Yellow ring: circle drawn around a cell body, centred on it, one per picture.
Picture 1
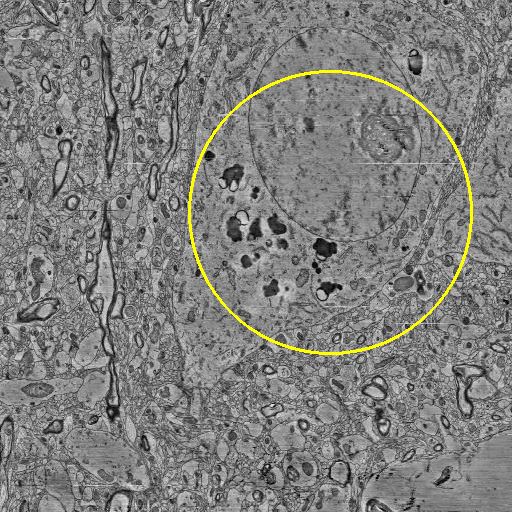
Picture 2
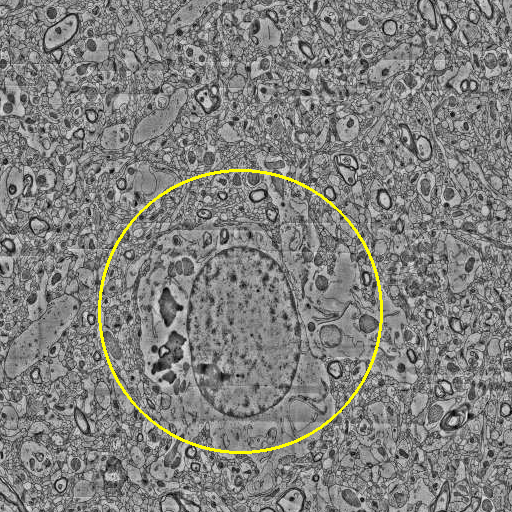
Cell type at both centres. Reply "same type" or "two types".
two types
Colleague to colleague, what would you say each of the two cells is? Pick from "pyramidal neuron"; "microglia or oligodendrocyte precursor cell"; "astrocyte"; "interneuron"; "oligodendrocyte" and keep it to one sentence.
The cell in the first picture is a pyramidal neuron; the second picture's cell is an astrocyte.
